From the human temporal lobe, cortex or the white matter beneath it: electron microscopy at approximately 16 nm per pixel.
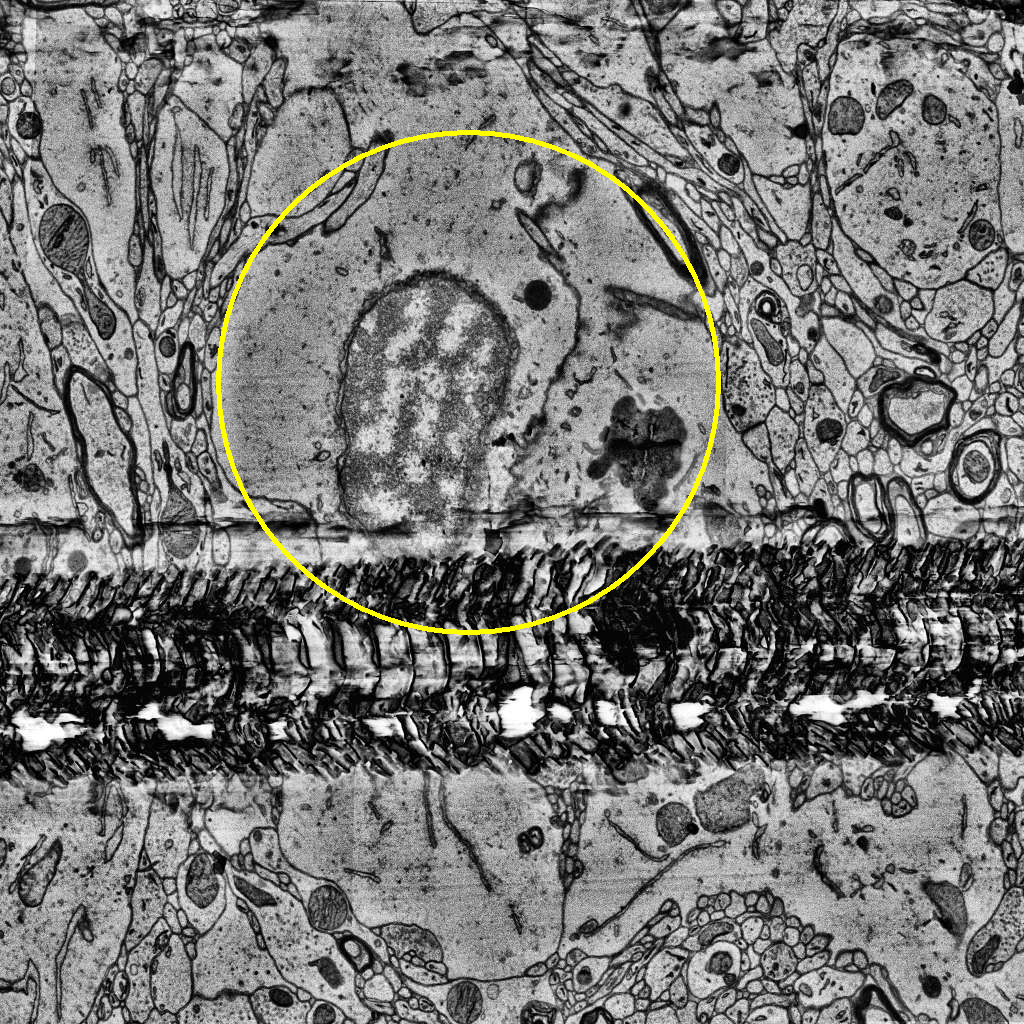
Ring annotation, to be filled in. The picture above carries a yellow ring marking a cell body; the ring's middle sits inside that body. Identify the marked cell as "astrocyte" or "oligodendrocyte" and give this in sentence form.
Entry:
The cell at the middle of the ring is an astrocyte.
